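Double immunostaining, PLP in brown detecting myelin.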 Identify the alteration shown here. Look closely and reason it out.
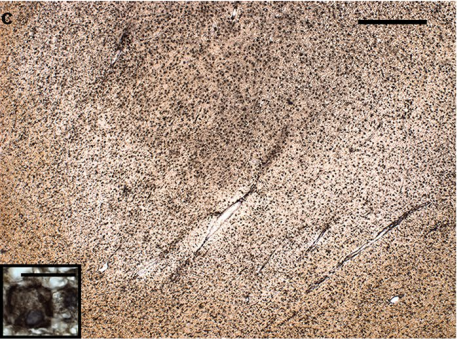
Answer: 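Active lesion. Very many densely packed black-stained cells throughout the field. Brown stain is paler and patchy compared with the black cells.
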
